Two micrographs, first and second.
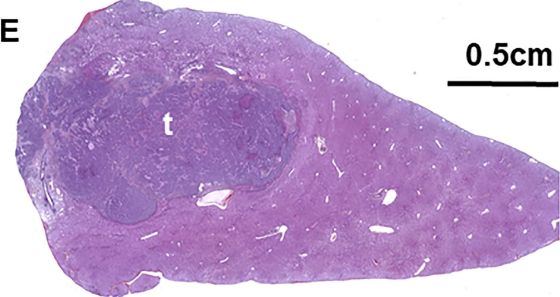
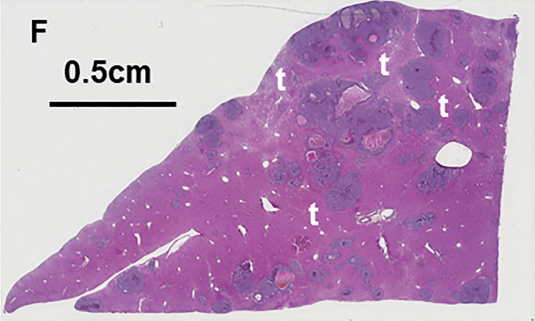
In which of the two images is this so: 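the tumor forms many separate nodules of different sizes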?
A: The second image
